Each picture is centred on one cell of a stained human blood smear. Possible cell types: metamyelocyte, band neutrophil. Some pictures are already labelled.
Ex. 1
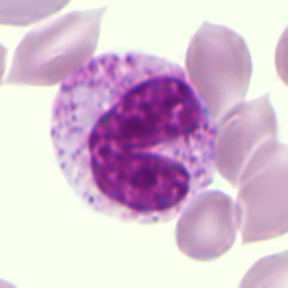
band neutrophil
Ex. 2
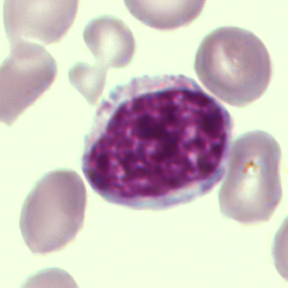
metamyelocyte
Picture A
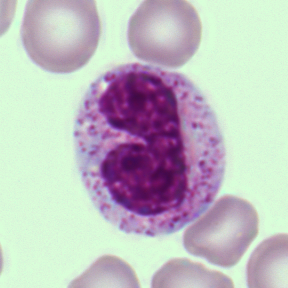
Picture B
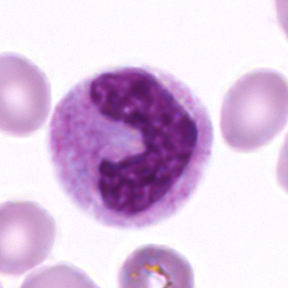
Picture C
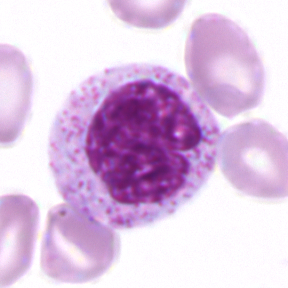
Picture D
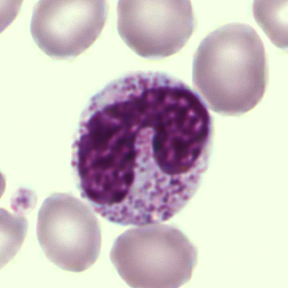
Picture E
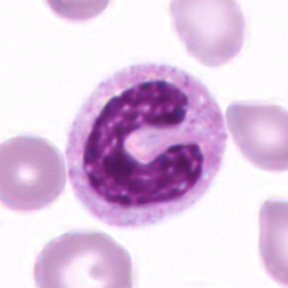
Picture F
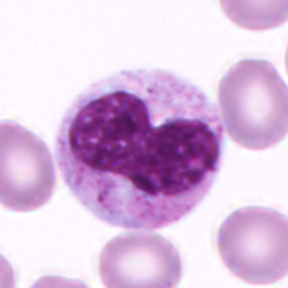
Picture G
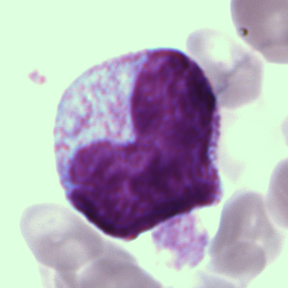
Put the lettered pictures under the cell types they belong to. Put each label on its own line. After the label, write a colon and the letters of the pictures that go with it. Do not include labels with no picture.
metamyelocyte: F
band neutrophil: A, B, C, D, E, G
